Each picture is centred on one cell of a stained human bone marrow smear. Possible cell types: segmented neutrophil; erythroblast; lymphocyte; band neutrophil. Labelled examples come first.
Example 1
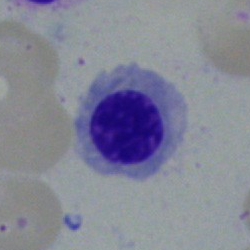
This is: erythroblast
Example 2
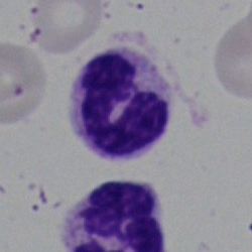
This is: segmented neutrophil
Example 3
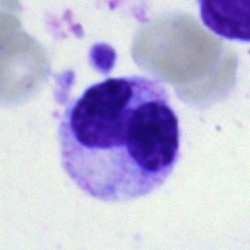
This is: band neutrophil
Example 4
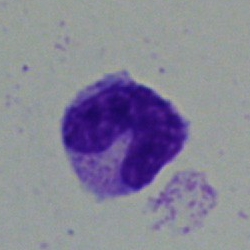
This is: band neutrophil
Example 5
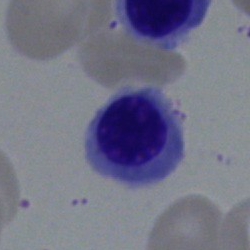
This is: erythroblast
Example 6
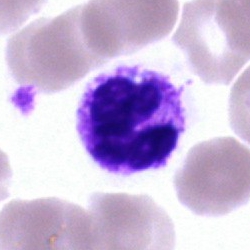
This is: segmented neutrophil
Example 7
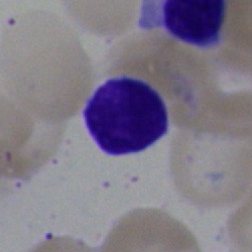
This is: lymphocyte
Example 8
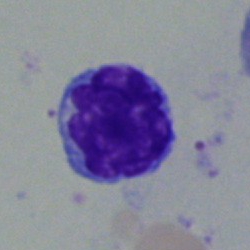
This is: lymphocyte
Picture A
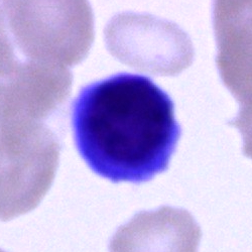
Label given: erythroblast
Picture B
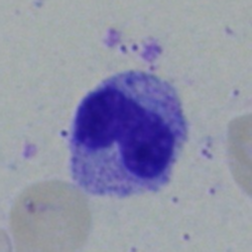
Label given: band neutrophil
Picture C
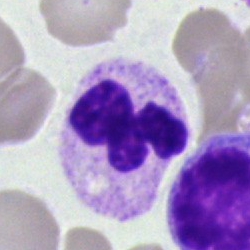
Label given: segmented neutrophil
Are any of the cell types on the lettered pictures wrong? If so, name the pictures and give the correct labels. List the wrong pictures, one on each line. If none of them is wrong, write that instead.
Every label is right.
